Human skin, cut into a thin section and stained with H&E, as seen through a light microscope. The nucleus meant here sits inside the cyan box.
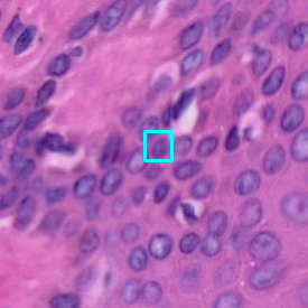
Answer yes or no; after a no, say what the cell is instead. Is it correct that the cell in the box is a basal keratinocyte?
Yes.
